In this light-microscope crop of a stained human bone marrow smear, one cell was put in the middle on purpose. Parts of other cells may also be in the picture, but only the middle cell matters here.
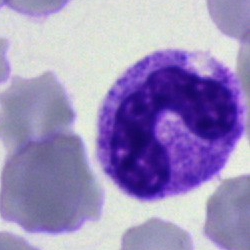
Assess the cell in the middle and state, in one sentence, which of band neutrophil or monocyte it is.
The cell of interest, in the center, is a band neutrophil.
